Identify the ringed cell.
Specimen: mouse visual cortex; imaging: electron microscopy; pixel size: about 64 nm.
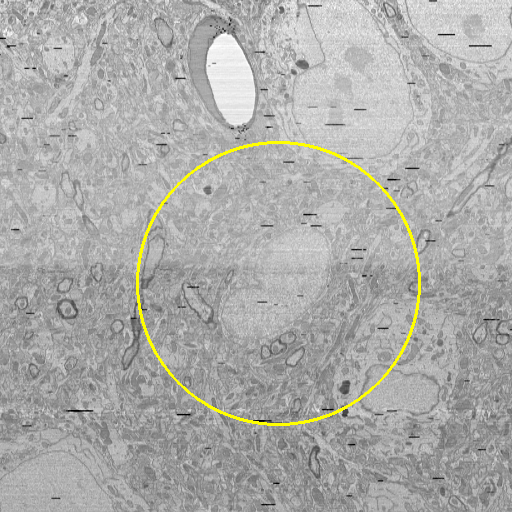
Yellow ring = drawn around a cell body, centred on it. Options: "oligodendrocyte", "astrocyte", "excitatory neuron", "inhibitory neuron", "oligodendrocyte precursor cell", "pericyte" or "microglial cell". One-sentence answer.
What the ring is centred on is an astrocyte.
